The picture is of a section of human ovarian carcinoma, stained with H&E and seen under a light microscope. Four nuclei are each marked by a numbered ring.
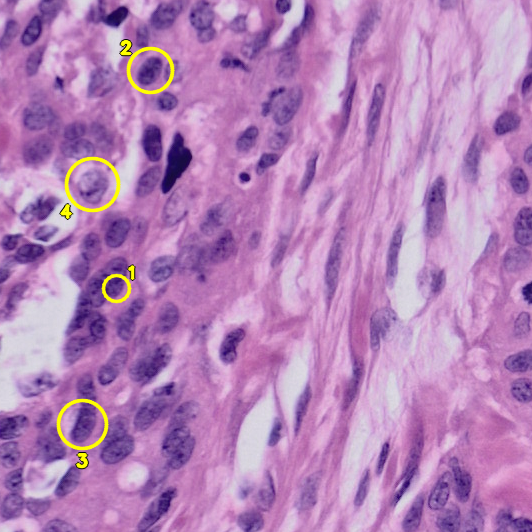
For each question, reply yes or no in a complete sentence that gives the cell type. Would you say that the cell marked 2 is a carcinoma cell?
Yes, the cell carrying number 2 is a carcinoma cell.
